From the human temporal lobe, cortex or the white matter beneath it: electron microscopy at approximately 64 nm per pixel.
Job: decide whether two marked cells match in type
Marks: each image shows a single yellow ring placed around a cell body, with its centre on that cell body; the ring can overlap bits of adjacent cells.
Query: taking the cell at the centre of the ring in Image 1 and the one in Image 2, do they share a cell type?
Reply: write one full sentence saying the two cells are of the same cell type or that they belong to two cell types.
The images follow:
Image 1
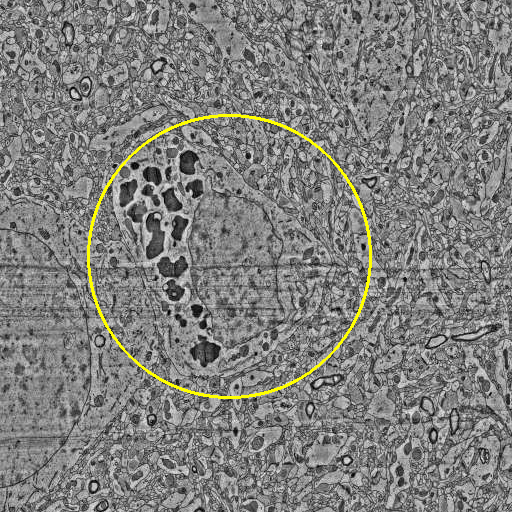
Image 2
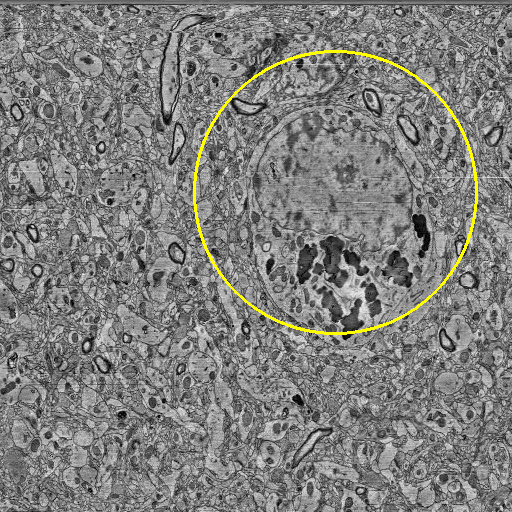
The cells at the ring centres in Image 1 and Image 2 are of the same cell type.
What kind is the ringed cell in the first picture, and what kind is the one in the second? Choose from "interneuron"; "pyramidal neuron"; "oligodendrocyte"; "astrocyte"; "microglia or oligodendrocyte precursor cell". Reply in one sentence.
Both pictures show an interneuron at the centre of the ring.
